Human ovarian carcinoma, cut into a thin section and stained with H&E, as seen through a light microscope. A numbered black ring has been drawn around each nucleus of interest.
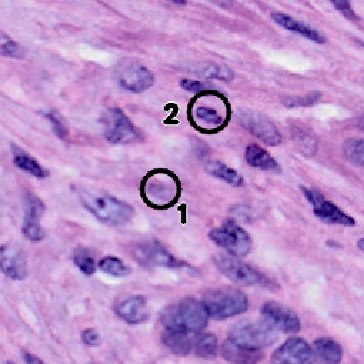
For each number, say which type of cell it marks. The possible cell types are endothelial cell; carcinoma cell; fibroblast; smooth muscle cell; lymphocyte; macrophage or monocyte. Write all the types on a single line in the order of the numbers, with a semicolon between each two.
fibroblast; lymphocyte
